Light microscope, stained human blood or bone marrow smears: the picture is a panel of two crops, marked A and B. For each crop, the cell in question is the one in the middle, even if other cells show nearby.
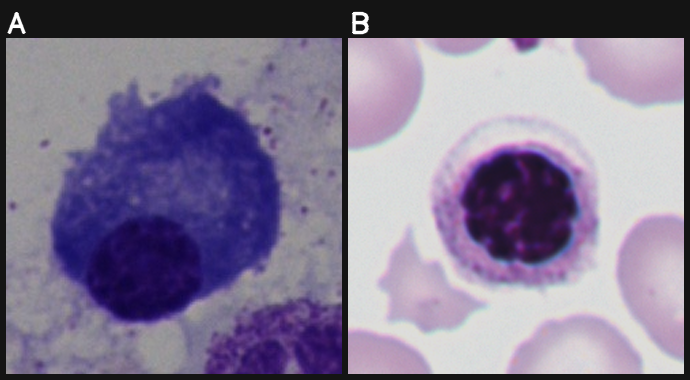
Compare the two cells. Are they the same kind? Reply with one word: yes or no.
no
